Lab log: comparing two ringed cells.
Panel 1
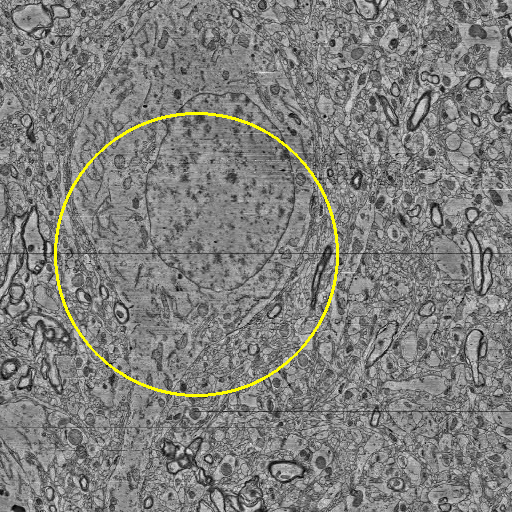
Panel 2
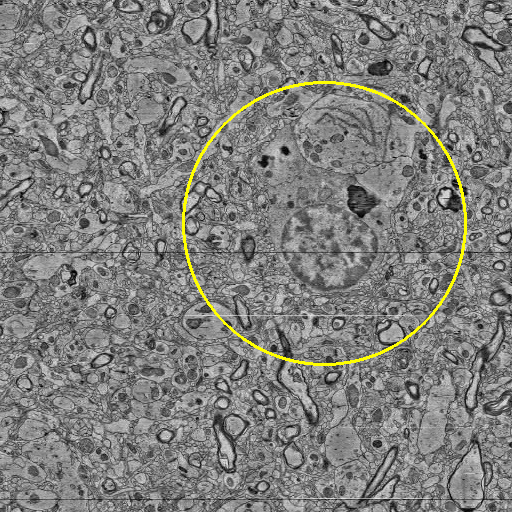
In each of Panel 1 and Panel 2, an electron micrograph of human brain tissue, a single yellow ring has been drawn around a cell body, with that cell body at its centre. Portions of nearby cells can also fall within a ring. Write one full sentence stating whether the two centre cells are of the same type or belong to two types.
The cells at the ring centres in Panel 1 and Panel 2 belong to two types.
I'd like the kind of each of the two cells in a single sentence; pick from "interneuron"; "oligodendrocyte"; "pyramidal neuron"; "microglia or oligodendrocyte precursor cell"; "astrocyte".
The first ring marks a pyramidal neuron, and the second ring marks an oligodendrocyte.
